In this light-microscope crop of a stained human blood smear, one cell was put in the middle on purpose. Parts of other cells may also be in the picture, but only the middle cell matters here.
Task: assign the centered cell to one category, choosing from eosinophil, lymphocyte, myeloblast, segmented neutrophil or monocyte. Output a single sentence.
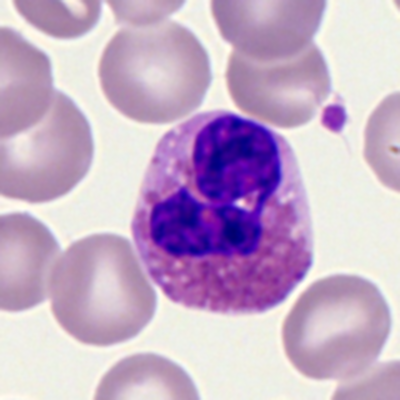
Here the centrally located cell is an eosinophil.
